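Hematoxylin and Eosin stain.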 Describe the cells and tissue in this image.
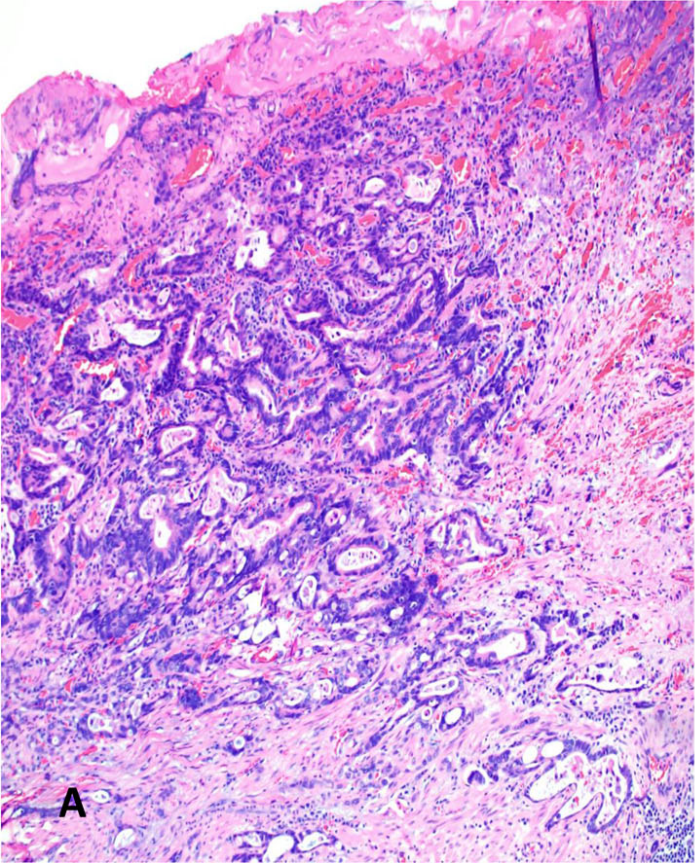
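This is an invasive adenocarcinoma in which irregular, angulated glands and small tubules infiltrate a pink fibrous stroma. The glands are lined by crowded cells with dark, elongated nuclei, and some lumens hold pale secretion. The glandular clusters are densest in the upper middle of the field and thin out as scattered small glands deeper down, with a tangle of red-stained vessels and bundles toward the upper right.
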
